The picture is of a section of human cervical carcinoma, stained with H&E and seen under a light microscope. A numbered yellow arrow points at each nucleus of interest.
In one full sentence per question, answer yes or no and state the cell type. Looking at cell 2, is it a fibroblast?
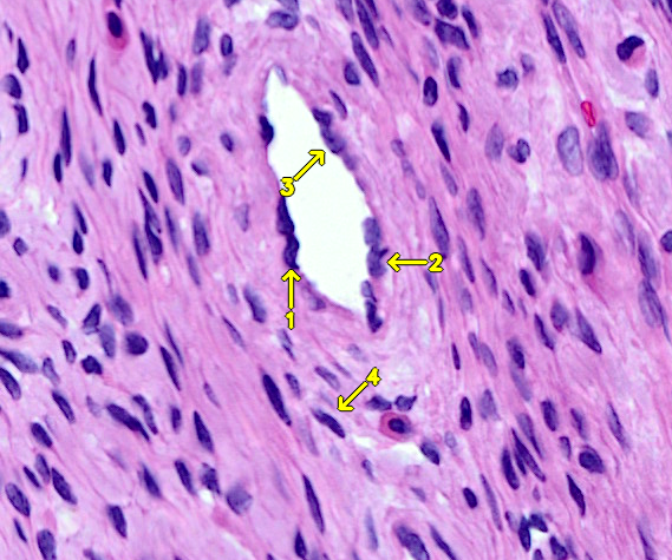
No, the nucleus numbered 2 belongs to an endothelial cell, not a fibroblast.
